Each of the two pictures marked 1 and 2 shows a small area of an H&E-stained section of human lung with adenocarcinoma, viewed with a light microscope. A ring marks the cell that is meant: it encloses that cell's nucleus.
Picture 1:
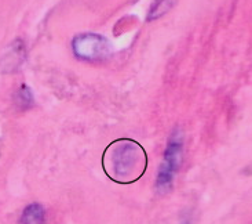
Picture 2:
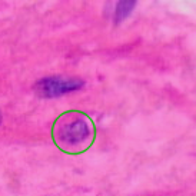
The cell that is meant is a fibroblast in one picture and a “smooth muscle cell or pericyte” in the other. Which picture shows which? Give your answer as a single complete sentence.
The cell in picture 1 is a fibroblast, and the one in picture 2 is a “smooth muscle cell or pericyte”.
